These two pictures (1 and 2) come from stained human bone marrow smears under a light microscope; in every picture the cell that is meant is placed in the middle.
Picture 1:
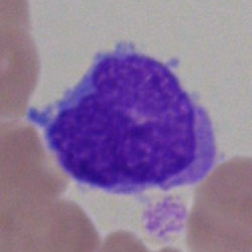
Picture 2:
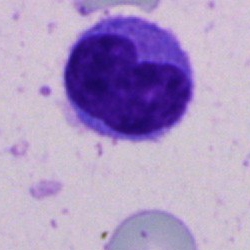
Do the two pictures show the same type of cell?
yes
